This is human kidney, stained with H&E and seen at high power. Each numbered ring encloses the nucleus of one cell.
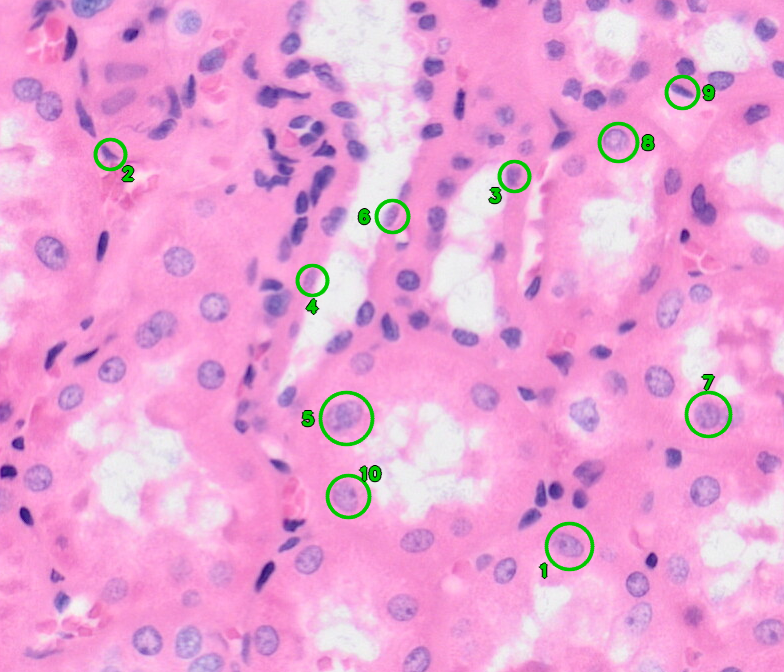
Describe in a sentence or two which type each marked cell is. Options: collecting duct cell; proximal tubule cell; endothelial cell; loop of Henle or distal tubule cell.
Cell 1 is a proximal tubule cell, cell 2 is an endothelial cell, cell 3 is a loop of Henle or distal tubule cell, cell 4 is a loop of Henle or distal tubule cell, cell 5 is a proximal tubule cell, cell 6 is a loop of Henle or distal tubule cell, cell 7 is a proximal tubule cell, cell 8 is a proximal tubule cell, cell 9 is an endothelial cell and cell 10 is a proximal tubule cell.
